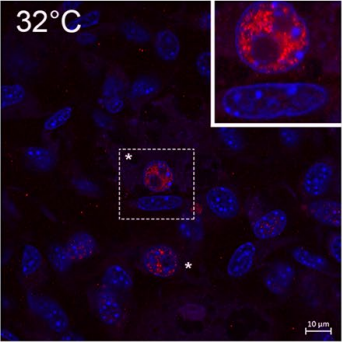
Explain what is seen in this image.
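This field of cultured cells shows mostly oval blue nuclei spaced fairly evenly across a dark background, with little red between them. A second rounded cell lower down shows a similar red speckling over its nucleus, while most surrounding cells show only faint scattered red dots.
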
